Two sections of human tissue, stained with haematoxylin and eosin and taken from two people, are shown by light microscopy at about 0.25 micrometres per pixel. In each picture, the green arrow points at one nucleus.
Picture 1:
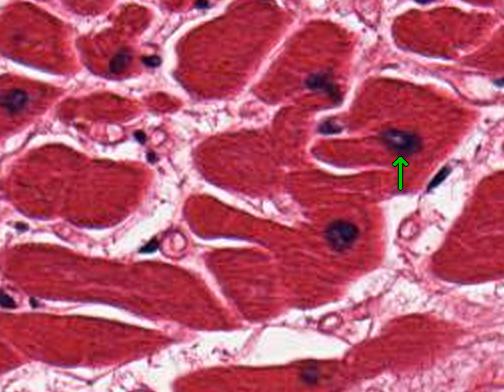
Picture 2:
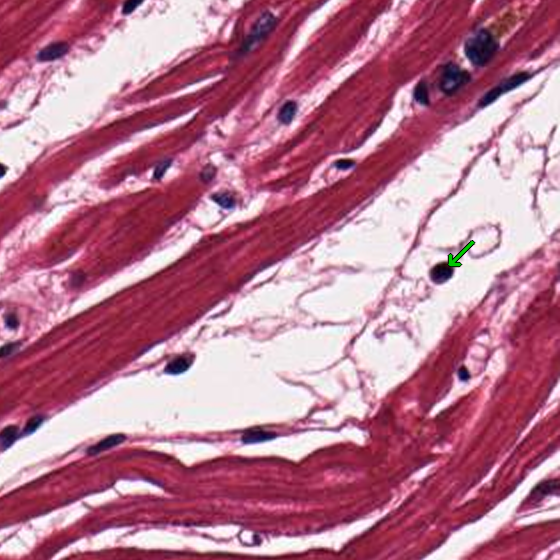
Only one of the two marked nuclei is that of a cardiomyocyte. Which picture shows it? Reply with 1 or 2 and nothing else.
1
